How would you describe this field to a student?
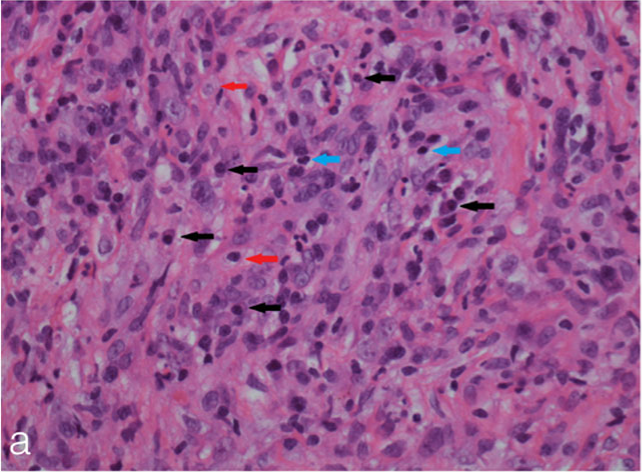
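Plasma cells show round, dark nuclei placed off-centre with a rim of purplish cytoplasm, while lymphocytes are small cells with dark nuclei and scant cytoplasm. Histiocytes are larger, with paler oval nuclei and more abundant pink cytoplasm. Thin strands of pink collagen run between the cells.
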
